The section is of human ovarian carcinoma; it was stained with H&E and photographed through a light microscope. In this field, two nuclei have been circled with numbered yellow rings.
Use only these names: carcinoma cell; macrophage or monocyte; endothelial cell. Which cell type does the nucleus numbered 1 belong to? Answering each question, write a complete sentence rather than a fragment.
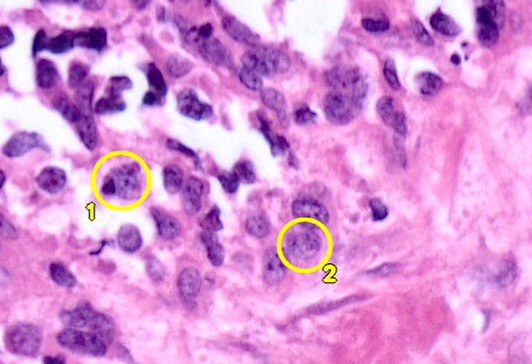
The cell that is numbered 1 is a macrophage or monocyte.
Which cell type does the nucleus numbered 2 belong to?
The cell with the number 2 is a carcinoma cell.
